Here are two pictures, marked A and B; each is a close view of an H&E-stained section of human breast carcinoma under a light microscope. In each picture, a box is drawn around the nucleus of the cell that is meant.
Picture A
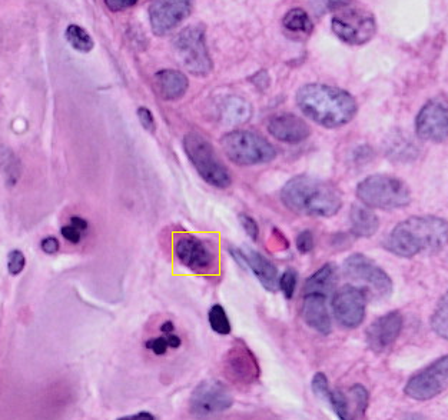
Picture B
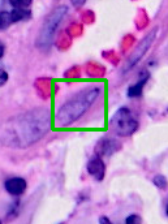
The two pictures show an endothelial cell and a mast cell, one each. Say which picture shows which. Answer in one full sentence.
Picture B shows an endothelial cell, while picture A shows a mast cell.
